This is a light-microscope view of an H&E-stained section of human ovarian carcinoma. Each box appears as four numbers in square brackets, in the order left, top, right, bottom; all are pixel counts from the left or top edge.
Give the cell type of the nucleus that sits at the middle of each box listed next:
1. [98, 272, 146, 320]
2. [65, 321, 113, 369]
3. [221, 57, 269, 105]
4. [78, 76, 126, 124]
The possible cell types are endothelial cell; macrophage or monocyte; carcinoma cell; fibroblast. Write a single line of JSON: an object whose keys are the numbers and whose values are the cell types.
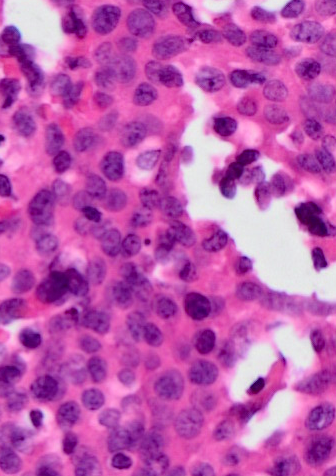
{"1": "carcinoma cell", "2": "carcinoma cell", "3": "macrophage or monocyte", "4": "carcinoma cell"}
